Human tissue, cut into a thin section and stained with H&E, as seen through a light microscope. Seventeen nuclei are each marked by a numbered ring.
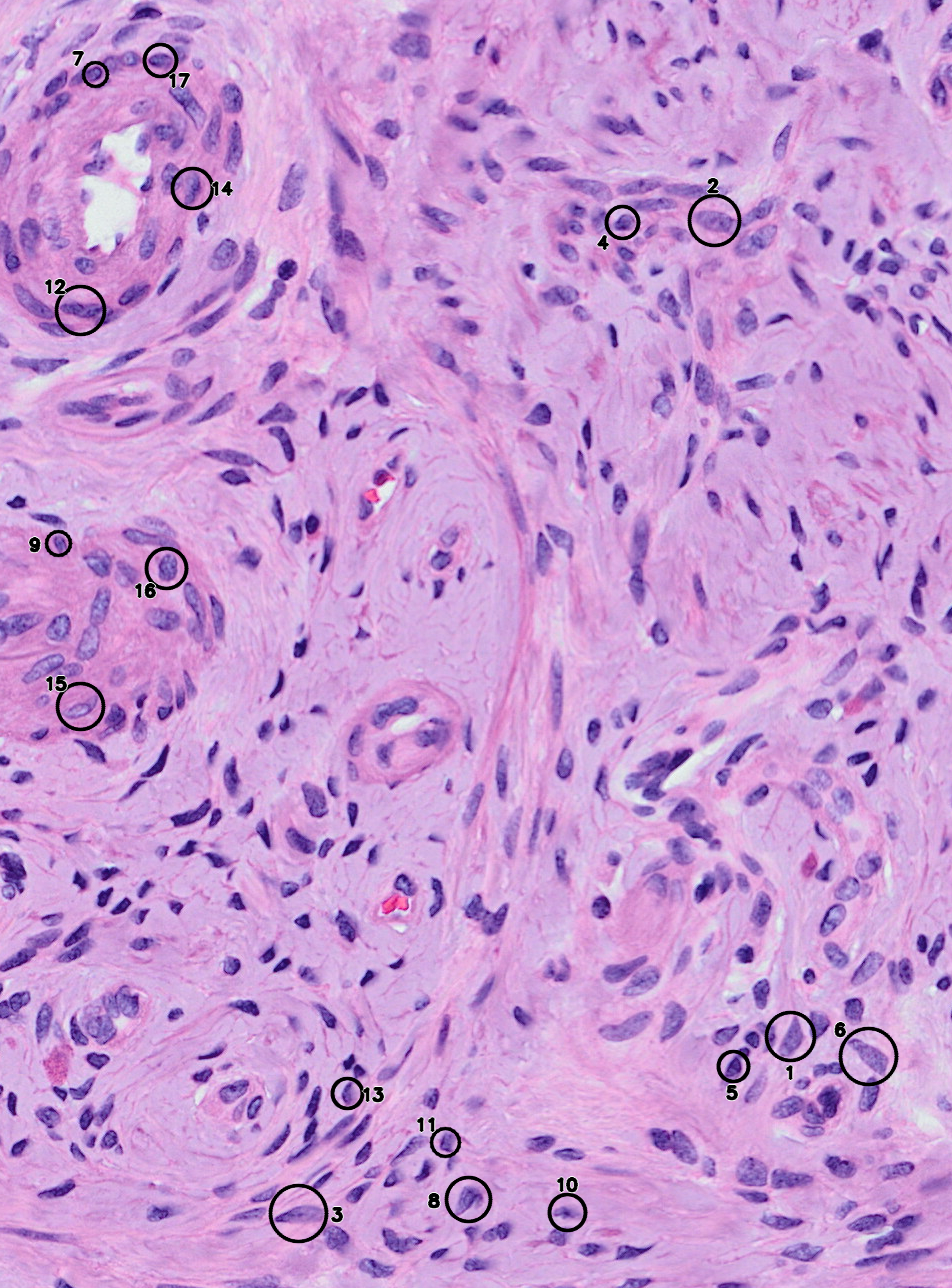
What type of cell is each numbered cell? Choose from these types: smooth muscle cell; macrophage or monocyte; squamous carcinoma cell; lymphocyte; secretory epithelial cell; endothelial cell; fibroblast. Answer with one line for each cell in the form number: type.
1: fibroblast
2: smooth muscle cell
3: fibroblast
4: smooth muscle cell
5: fibroblast
6: fibroblast
7: smooth muscle cell
8: fibroblast
9: smooth muscle cell
10: fibroblast
11: fibroblast
12: smooth muscle cell
13: fibroblast
14: smooth muscle cell
15: smooth muscle cell
16: smooth muscle cell
17: smooth muscle cell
